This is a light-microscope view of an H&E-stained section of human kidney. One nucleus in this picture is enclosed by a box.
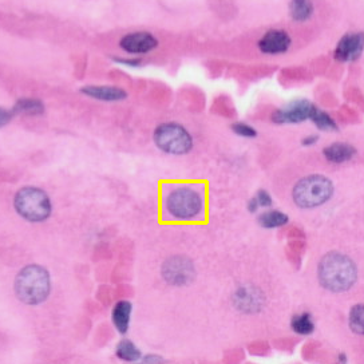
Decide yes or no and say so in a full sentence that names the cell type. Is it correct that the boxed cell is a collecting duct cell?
No, the boxed cell is a proximal tubule cell rather than a collecting duct cell in this section.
